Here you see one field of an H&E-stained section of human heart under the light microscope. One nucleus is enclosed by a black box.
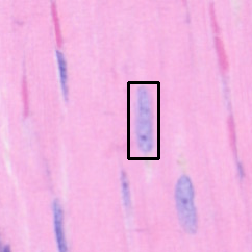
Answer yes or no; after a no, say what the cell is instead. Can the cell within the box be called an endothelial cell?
No, it is a cardiomyocyte.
